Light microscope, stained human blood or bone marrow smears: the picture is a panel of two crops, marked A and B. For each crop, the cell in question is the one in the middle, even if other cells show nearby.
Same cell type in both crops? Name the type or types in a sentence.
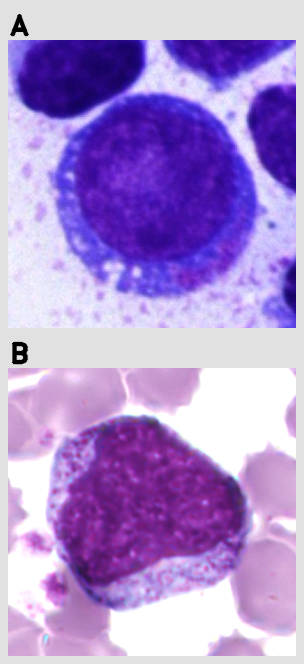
No, shown in crop A is a blast, and shown in crop B is a promyelocyte.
